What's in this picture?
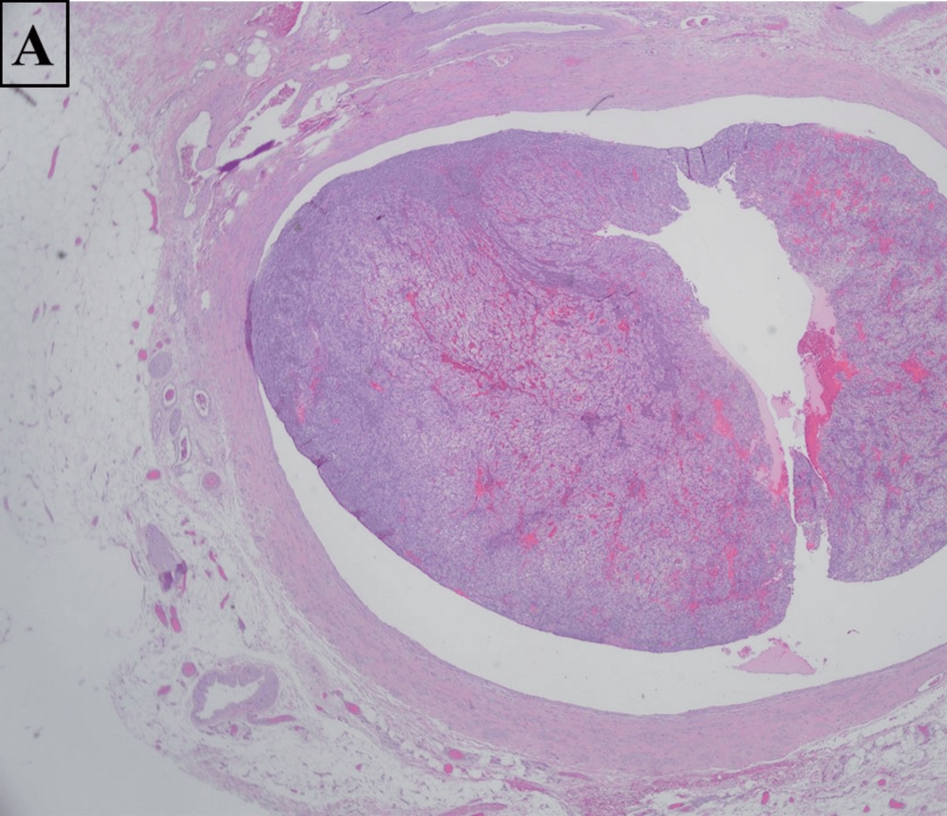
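At low power a large vein is cut across, and its lumen is filled by a big purple cellular tumor mass. A thick pink muscular wall surrounds the mass, separated from it by a narrow clear gap, and the tumor is patchy with red areas of blood. Outside the wall lies loose fatty connective tissue with smaller vessels and nerves.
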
